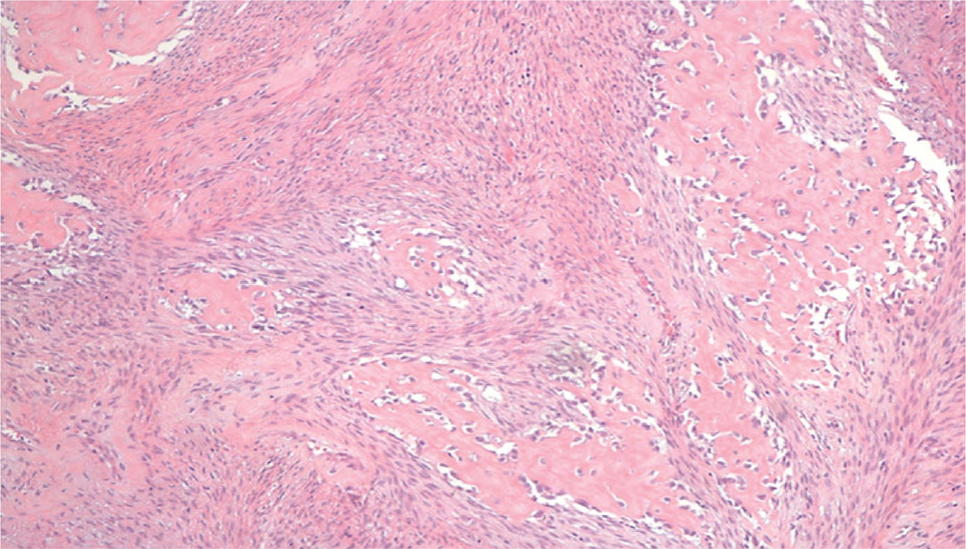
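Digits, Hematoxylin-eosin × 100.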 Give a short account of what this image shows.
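This is a cellular spindle-cell lesion in which fascicles of fibroblasts and myofibroblasts surround irregular deposits of osteoid. The spindle cells have elongated, purple nuclei and pale pink cytoplasm, and they run in sweeping, intersecting bundles across the field. Between the bundles lie islands of homogeneous pink matrix of varying size and shape. The matrix holds small cells in clear spaces, giving it a lace-like appearance.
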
